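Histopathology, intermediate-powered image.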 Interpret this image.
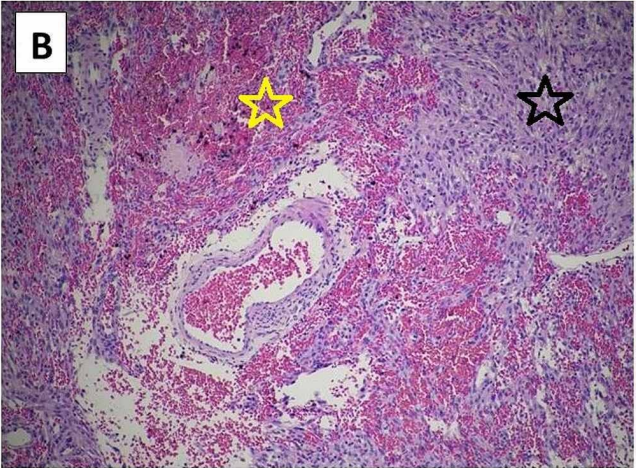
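Vascular tumour tissue with extensive hemorrhage: broad sheets of free red blood cells spread through the upper left and centre, with scattered dark granular deposits. A thick-walled vessel packed with red blood cells lies at the centre, and several slit-like vascular spaces appear elsewhere. To the right, the background consists of spindle cells with elongated nuclei and pale pink cytoplasm arranged in streaming bundles. Tumour cells are interspersed among the extravasated blood.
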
